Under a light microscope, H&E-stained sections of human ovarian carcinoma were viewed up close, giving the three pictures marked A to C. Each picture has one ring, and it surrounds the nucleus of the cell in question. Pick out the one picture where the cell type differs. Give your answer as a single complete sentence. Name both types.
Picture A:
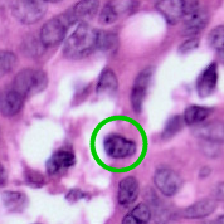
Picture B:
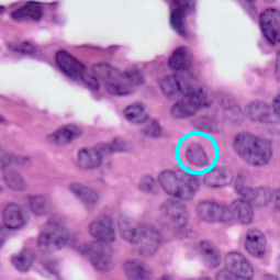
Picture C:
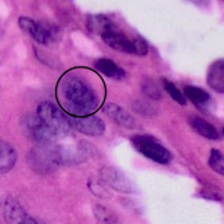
All pictures except C show “macrophages or monocytes”; picture C shows a carcinoma cell.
